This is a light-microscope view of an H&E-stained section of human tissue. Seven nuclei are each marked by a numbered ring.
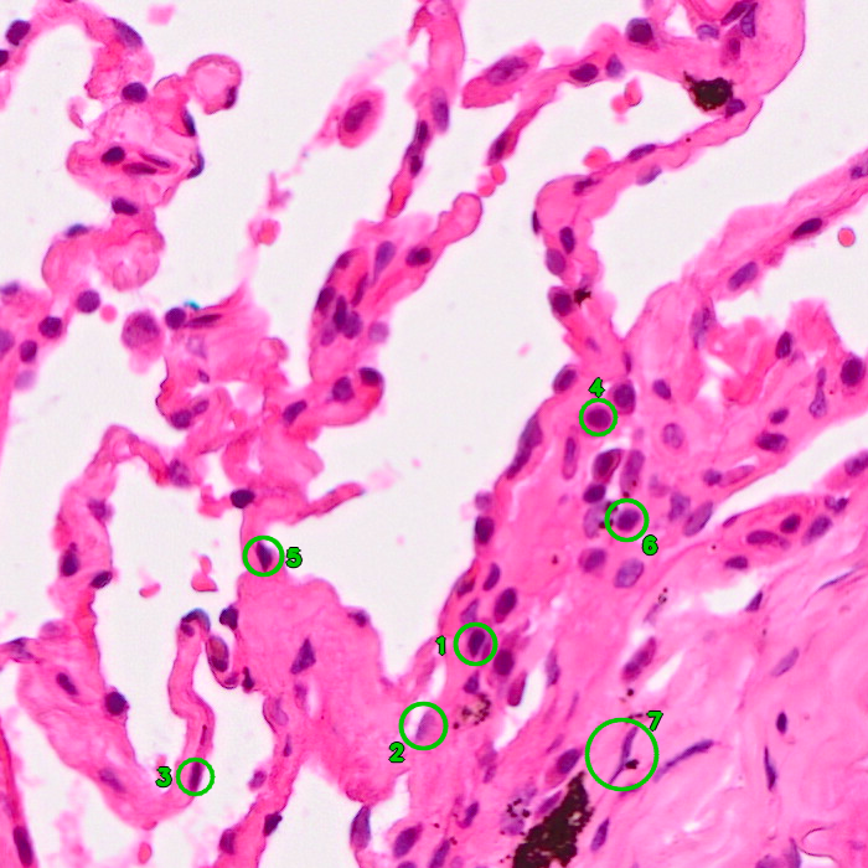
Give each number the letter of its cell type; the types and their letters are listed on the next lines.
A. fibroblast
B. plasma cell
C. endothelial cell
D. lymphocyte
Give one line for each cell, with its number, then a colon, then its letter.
1: B
2: A
3: C
4: B
5: C
6: D
7: A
